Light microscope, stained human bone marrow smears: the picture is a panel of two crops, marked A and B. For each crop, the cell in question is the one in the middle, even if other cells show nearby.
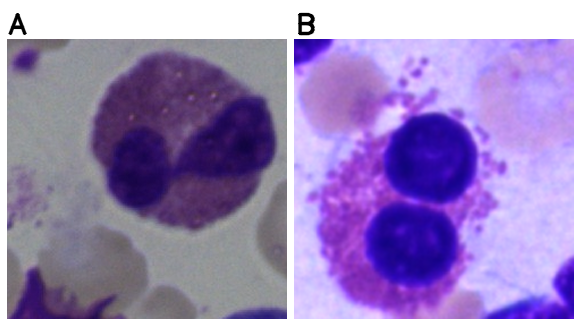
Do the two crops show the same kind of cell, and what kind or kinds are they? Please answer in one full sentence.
Yes, they do, both crops show eosinophils.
